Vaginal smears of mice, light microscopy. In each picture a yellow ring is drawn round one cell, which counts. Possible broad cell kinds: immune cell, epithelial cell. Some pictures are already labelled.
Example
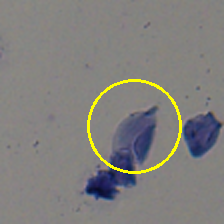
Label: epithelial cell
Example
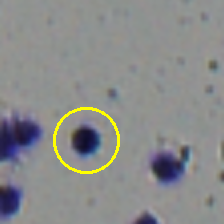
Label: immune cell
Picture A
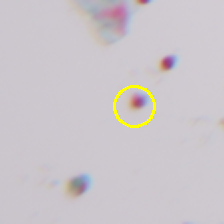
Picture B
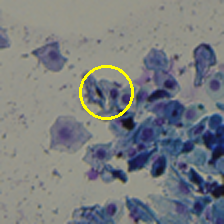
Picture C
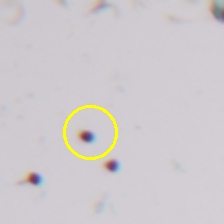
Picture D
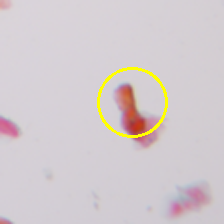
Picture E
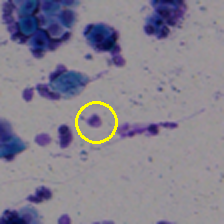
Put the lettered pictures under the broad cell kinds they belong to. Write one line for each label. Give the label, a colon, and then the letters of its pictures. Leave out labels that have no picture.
immune cell: A, C, E
epithelial cell: B, D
